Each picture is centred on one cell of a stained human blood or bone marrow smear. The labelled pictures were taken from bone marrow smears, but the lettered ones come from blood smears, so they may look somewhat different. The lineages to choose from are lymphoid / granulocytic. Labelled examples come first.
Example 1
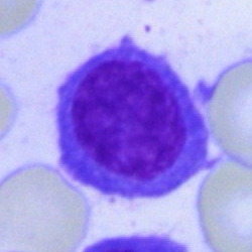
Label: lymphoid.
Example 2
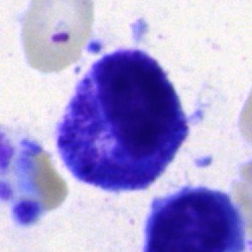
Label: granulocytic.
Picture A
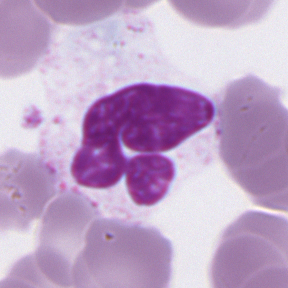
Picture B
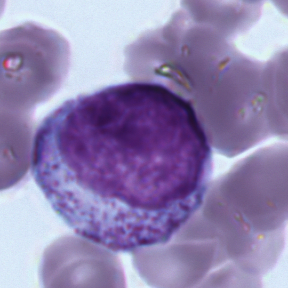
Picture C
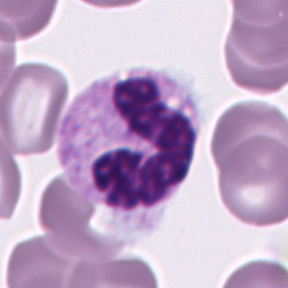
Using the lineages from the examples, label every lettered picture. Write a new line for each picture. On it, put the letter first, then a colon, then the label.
A: granulocytic.
B: granulocytic.
C: granulocytic.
